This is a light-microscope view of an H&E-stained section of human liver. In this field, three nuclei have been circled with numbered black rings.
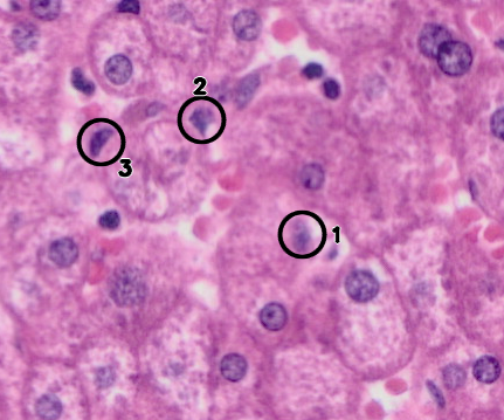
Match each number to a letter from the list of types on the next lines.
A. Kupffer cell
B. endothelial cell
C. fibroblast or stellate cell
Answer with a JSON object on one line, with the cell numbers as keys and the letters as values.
{"1": "A", "2": "B", "3": "C"}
